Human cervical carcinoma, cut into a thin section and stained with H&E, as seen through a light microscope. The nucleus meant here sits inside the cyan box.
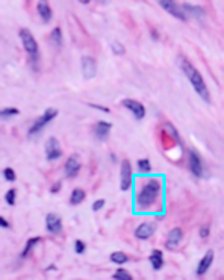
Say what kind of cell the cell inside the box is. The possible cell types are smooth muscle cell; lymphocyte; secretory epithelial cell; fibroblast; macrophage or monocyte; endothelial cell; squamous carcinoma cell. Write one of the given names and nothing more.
smooth muscle cell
